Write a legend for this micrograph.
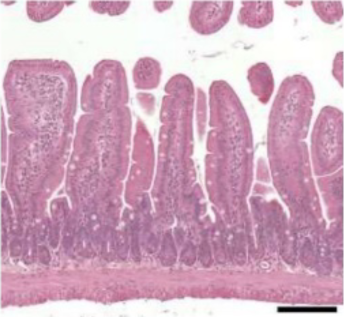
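This is small intestinal mucosa with long, slender villi covered by a single layer of tall columnar epithelial cells whose purple nuclei sit toward the base and whose cytoplasm is pink. Scattered pale, clear cells are interspersed in the epithelium, and at the base of the villi lie the crypts, resting on a thin pink band of underlying muscle.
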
